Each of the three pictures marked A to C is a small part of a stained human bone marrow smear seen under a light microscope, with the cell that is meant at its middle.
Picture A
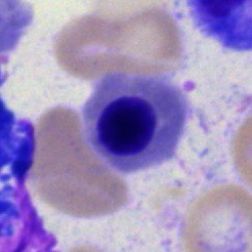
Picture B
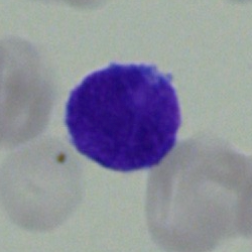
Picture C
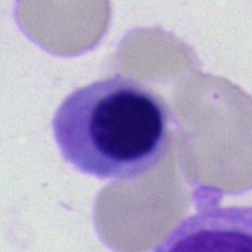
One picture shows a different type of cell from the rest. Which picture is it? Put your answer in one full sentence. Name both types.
Picture B is the odd one out: it shows a blast, while the others show erythroblasts.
